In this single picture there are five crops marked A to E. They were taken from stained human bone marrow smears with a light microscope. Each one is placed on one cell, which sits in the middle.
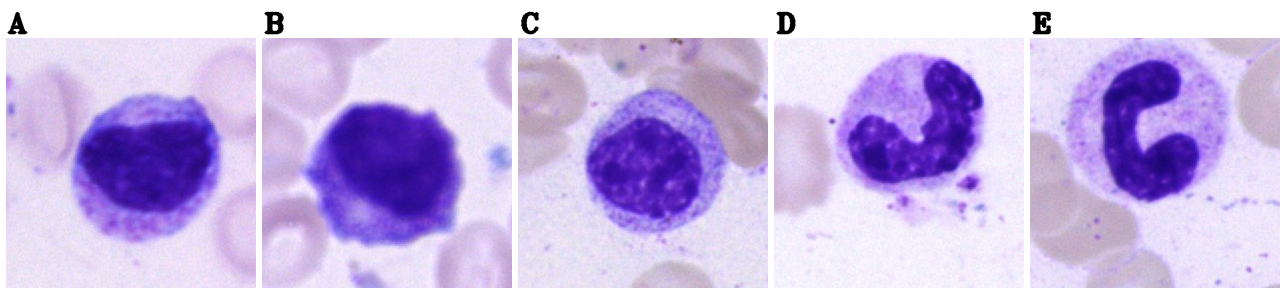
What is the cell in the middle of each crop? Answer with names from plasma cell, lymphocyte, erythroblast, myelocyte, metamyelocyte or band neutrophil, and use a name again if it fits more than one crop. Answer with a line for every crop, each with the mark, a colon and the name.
A: metamyelocyte
B: myelocyte
C: myelocyte
D: band neutrophil
E: band neutrophil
